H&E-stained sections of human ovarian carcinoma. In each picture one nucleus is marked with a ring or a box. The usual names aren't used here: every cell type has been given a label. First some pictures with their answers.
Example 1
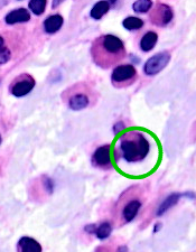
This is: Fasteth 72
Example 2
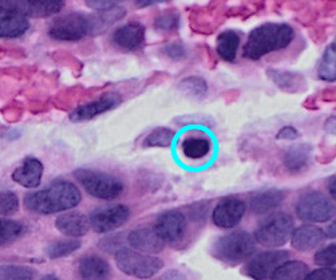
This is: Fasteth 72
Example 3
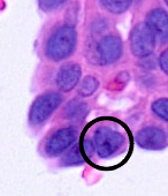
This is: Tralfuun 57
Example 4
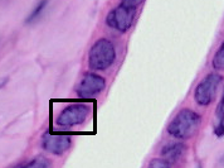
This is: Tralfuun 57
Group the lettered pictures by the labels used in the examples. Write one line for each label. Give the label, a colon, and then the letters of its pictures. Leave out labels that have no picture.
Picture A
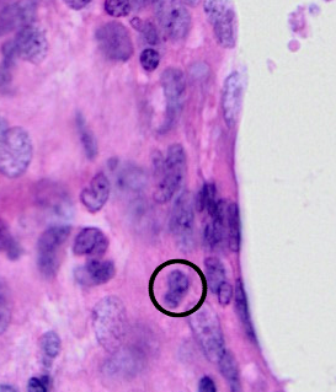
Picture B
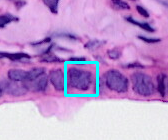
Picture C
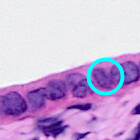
Fasteth 72: A
Tralfuun 57: B, C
